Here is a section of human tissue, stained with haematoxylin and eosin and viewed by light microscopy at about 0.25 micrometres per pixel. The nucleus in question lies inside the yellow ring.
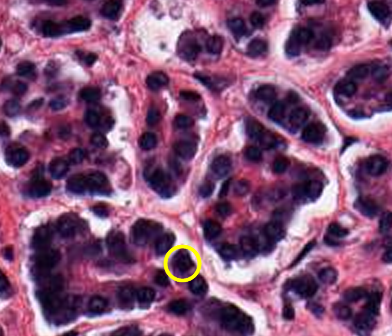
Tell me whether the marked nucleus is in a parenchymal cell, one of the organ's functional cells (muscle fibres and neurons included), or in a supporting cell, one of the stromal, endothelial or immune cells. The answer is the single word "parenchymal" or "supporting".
parenchymal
